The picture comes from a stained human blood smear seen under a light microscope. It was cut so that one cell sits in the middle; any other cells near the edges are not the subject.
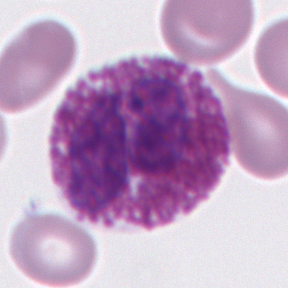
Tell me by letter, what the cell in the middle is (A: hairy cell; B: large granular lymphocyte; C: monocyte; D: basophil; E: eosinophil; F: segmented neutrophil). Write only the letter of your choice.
E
